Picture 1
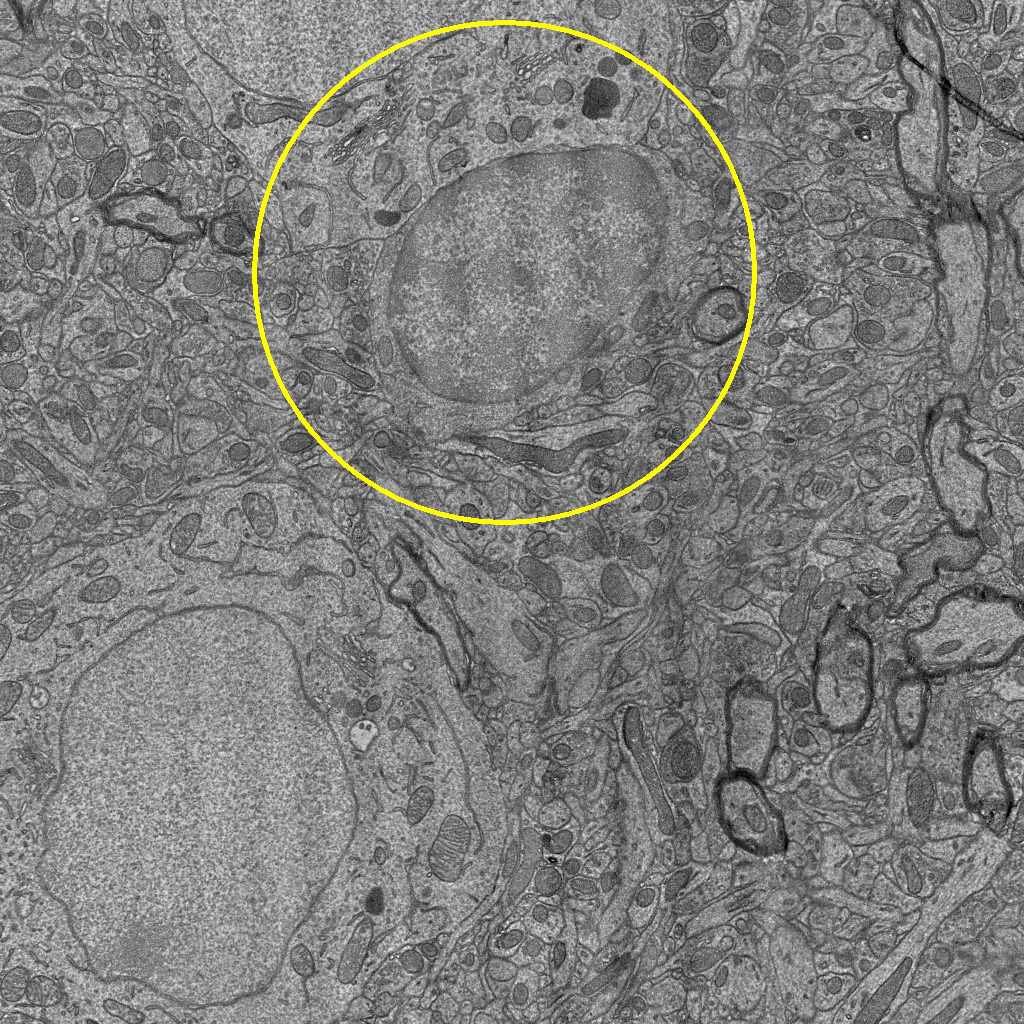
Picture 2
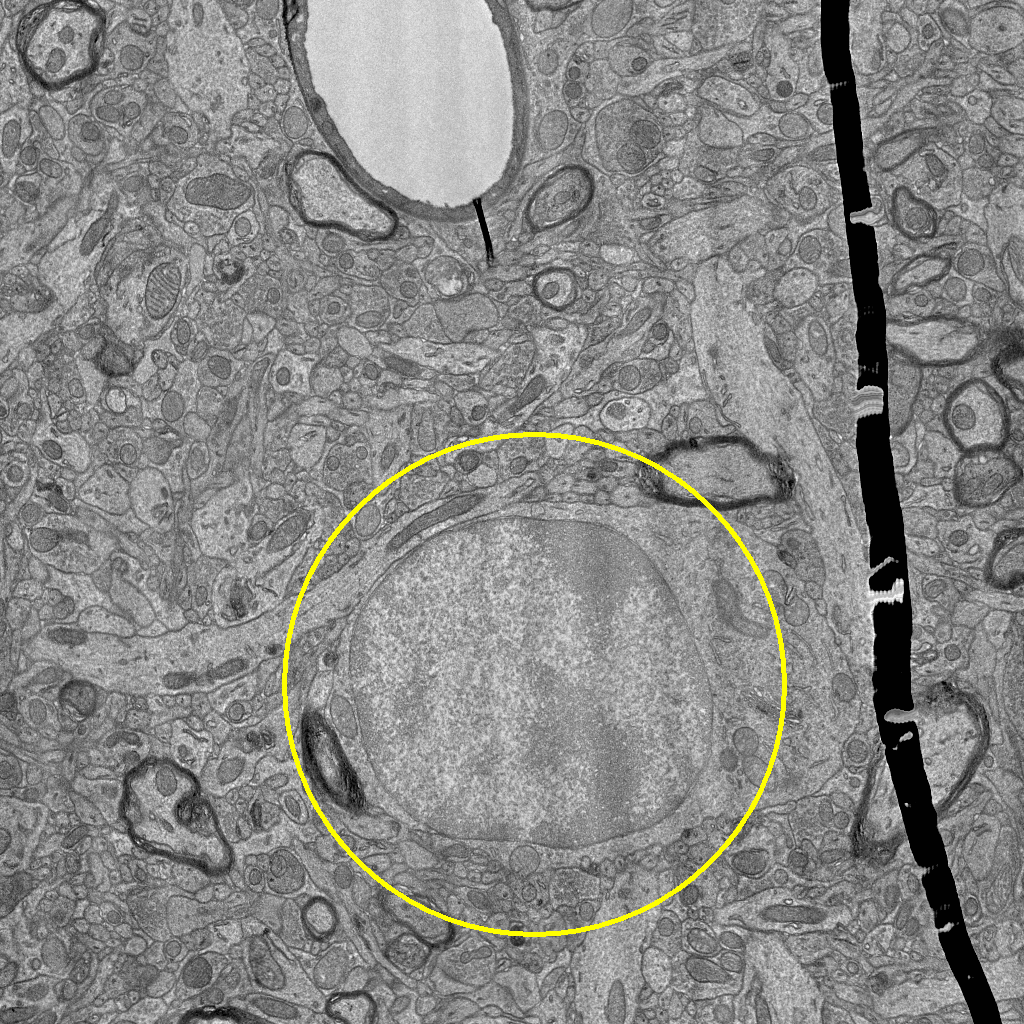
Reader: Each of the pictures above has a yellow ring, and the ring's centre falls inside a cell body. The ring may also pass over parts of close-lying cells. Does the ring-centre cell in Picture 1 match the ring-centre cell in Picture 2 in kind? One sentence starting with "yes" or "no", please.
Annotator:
Yes, Picture 1 and Picture 2 show ring-centre cells of a single kind.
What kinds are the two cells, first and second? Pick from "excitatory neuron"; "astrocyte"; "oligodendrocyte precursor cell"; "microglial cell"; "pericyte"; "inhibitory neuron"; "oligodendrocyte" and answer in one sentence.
The cell in the first picture is an oligodendrocyte, and so is the one in the second.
